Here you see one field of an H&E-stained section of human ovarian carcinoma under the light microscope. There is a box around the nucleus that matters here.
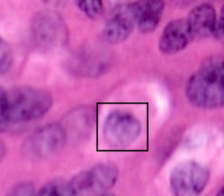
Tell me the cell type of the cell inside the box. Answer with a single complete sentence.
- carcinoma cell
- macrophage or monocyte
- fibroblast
The cell inside the box is a macrophage or monocyte.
